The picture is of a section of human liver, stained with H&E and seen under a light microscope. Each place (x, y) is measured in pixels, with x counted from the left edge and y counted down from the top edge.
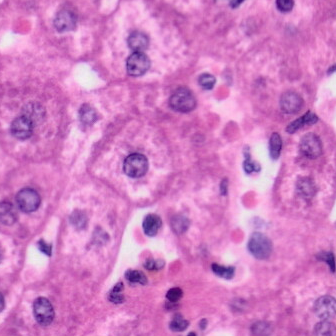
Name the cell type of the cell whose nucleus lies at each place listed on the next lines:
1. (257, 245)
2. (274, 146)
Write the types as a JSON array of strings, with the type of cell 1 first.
["endothelial cell", "Kupffer cell"]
